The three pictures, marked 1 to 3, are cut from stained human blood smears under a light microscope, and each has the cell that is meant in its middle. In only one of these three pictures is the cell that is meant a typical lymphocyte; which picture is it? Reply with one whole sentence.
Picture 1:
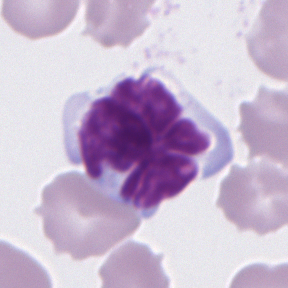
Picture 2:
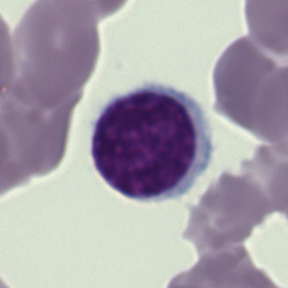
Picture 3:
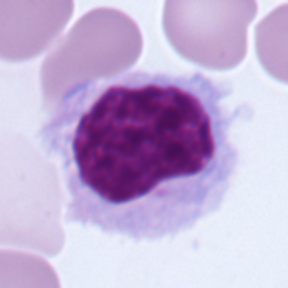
The cell in picture 1 is the typical lymphocyte.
